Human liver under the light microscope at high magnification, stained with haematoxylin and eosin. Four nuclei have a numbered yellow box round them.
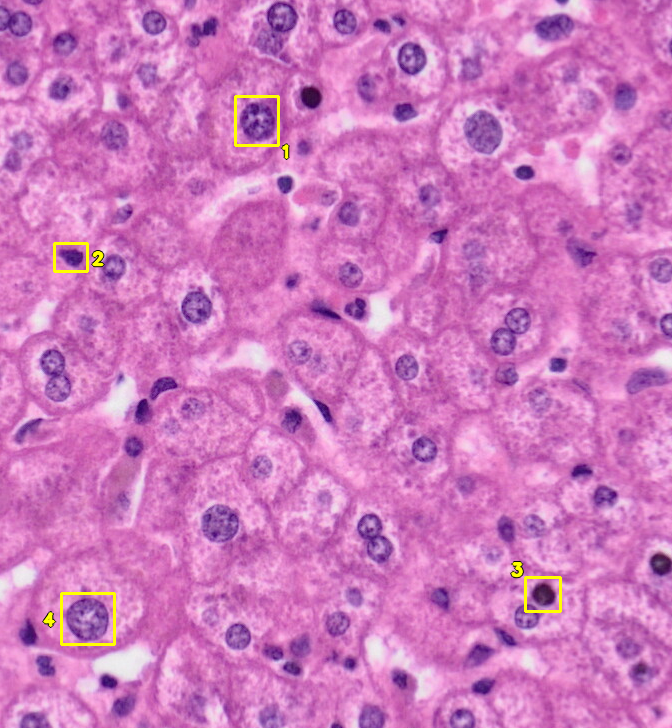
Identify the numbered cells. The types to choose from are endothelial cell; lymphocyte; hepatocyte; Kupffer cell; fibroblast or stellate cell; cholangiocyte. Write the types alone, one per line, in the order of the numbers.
hepatocyte
fibroblast or stellate cell
hepatocyte
hepatocyte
